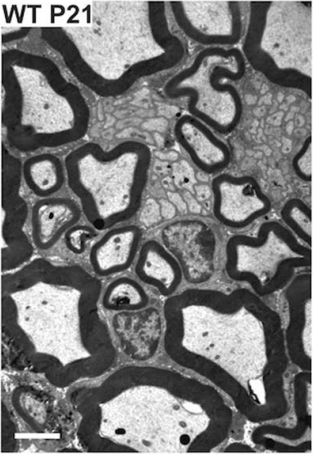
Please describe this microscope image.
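This is a cross-section of a peripheral nerve showing myelinated axons cut transversely. Each axon appears as a pale, finely textured profile surrounded by a thick, dark, electron-dense myelin sheath, and the axons range from small to large and from round to irregular in outline. Between the fibres lies a lighter endoneurial space, with a cluster of many small pale profiles near the centre. A few grey, granular cell bodies sit among the fibres.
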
